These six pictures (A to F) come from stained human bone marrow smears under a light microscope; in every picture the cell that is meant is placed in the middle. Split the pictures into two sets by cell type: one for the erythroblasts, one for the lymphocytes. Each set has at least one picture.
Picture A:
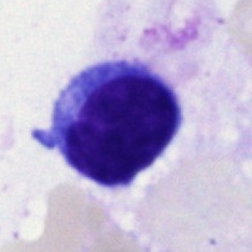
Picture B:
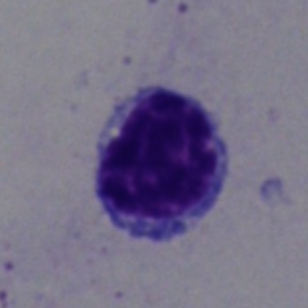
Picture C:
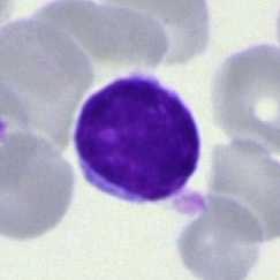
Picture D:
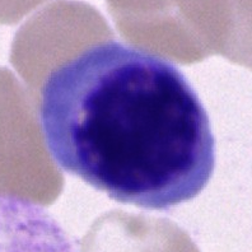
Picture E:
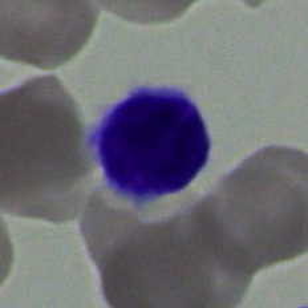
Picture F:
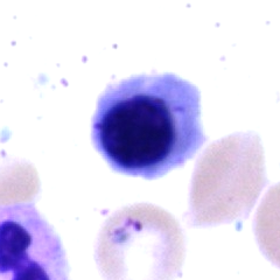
A: lymphocyte
B: lymphocyte
C: lymphocyte
D: erythroblast
E: lymphocyte
F: erythroblast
